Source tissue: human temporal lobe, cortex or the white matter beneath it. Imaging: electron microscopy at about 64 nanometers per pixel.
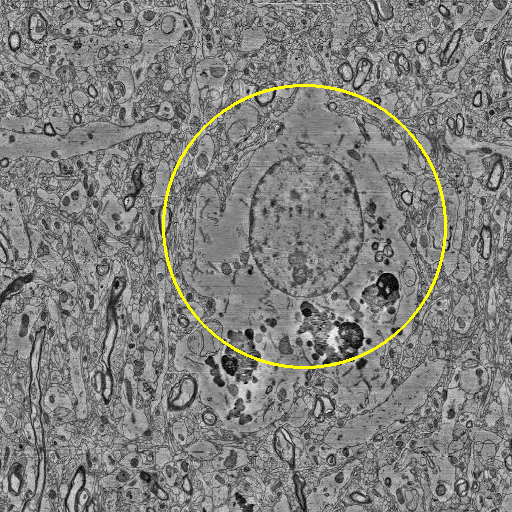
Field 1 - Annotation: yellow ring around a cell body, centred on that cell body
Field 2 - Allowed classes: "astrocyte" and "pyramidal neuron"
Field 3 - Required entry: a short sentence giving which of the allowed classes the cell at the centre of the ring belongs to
The centred cell is an astrocyte.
